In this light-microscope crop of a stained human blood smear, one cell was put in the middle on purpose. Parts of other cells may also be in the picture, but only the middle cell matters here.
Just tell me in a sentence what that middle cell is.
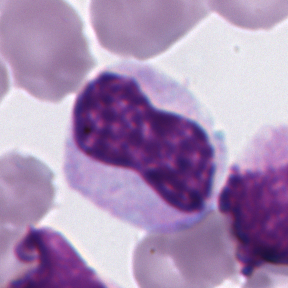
The cell found in the middle of this crop is a band neutrophil.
